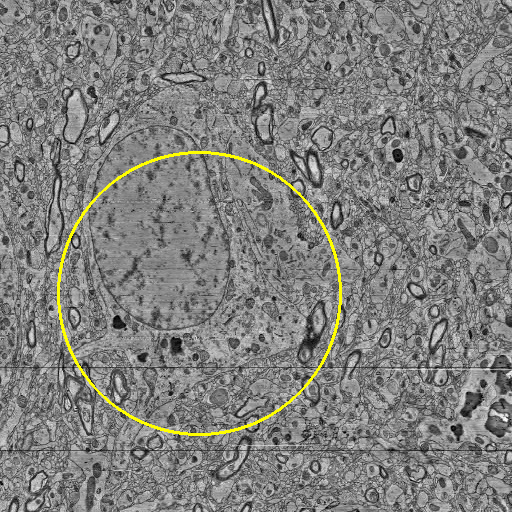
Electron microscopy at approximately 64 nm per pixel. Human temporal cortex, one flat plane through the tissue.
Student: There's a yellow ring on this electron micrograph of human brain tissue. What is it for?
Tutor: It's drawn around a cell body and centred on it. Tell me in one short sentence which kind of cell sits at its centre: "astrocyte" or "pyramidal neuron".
The cell at the centre of the ring is a pyramidal neuron.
